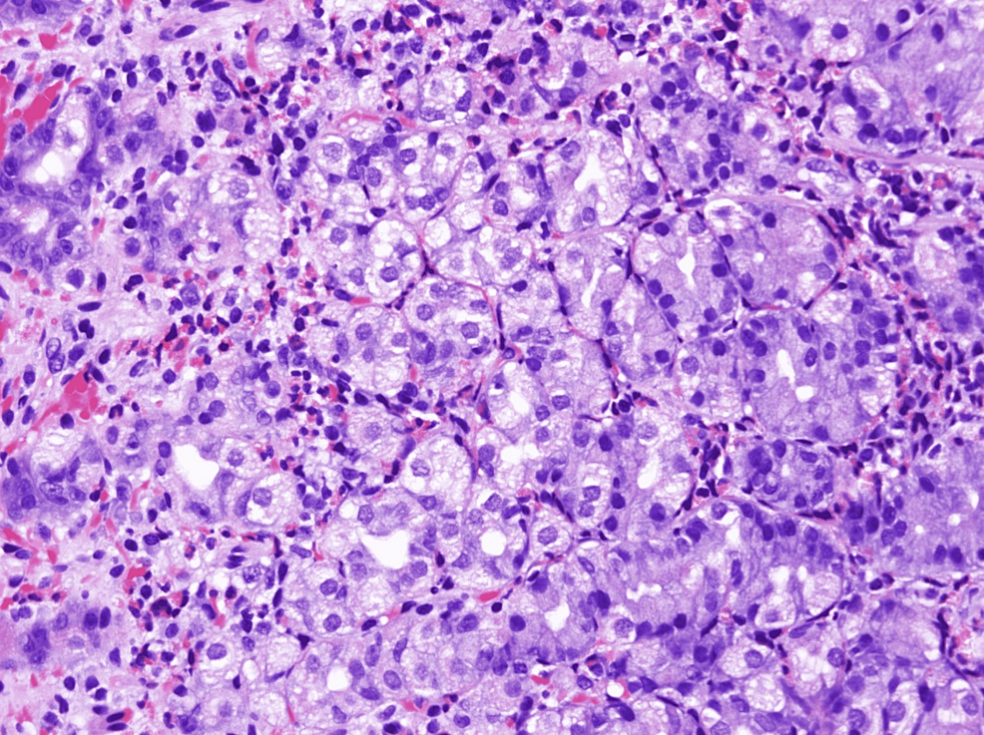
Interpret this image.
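This is gastric body mucosa, where closely packed glands are separated by an inflamed lamina propria. The glands are lined by large cells with pale, finely vacuolated pink-violet cytoplasm and round nuclei. Their lumina are small, and a few are slightly dilated. Thin strands of stroma between the glands are crowded with many small cells that have dark, compact nuclei. Some of these cells have pink cytoplasm, which fits an eosinophil-rich inflammatory infiltrate. Red blood cells are scattered in the stroma, mostly toward the left edge.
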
